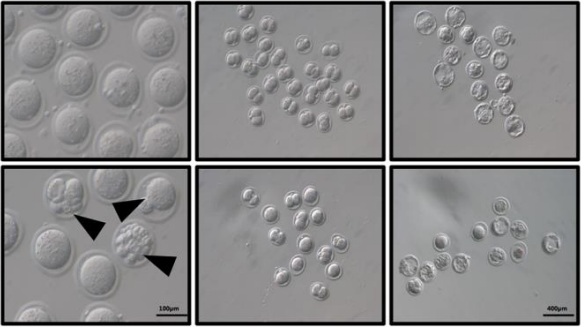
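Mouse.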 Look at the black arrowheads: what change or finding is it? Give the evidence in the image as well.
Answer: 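The marked cells contain several small rounded fragments inside the outer coat. Neighbouring oocytes are single smooth round cells. So: abnormal oocytes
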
